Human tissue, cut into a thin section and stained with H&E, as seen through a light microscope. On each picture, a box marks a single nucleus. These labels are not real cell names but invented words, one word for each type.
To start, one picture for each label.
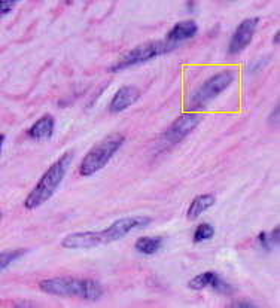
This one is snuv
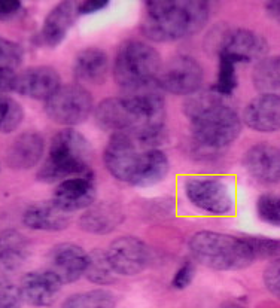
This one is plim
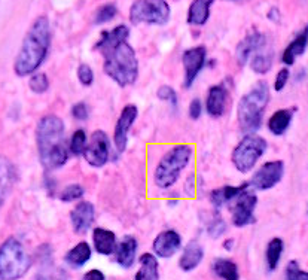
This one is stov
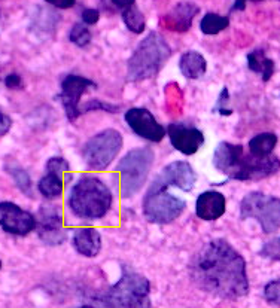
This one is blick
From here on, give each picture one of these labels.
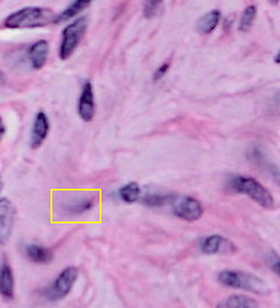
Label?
snuv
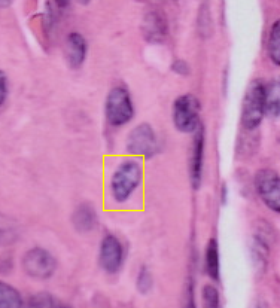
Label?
stov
